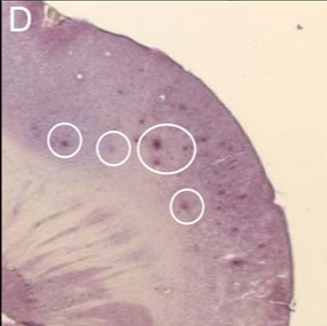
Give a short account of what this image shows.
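A low-power section of the cerebral cortex stained pale purple, with a pale band of white matter crossed by fibre bundles at the lower left. Many small, round, dark purple spots are scattered through the grey matter, some in small clusters and several within white circles.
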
